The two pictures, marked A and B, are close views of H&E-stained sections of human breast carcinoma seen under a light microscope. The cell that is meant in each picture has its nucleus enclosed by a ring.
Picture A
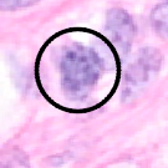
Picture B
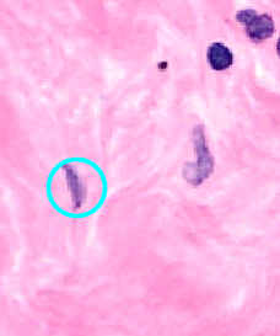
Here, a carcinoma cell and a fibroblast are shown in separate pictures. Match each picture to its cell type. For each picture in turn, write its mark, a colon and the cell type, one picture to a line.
A: carcinoma cell
B: fibroblast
